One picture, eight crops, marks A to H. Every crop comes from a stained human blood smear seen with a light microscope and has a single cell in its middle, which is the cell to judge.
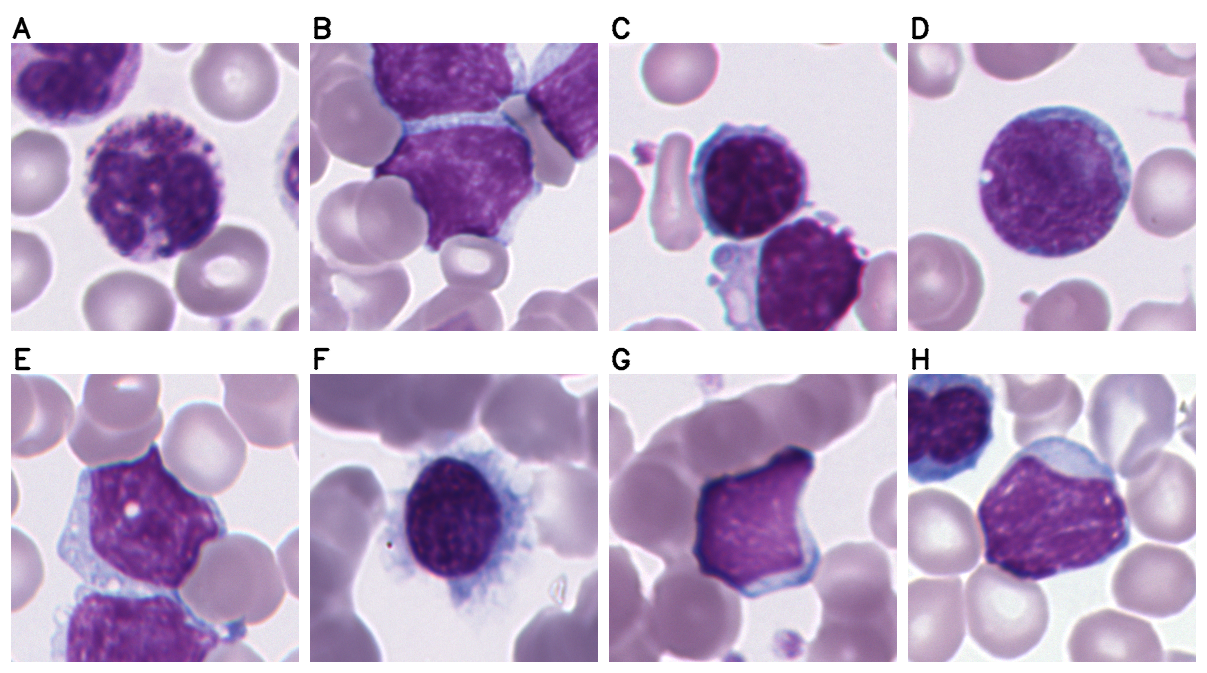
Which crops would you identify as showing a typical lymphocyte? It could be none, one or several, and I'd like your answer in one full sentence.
The cells sitting in the middle of crops B, C, E and G are typical lymphocytes.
